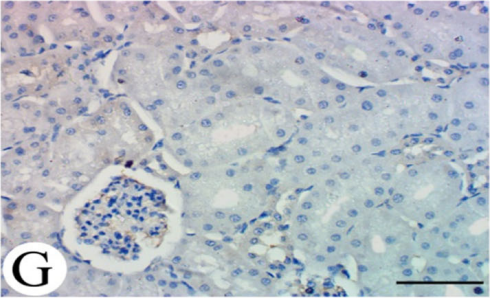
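This is kidney cortex showing a glomerulus at the lower left, a rounded tuft of densely packed blue nuclei within a clear capsular space, and many tubules around it. The tubules are lined by cuboidal epithelial cells with round blue nuclei and pale grey-blue cytoplasm, with hardly any brown colour anywhere. Small open lumens and thin interstitial spaces separate the tubules.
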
